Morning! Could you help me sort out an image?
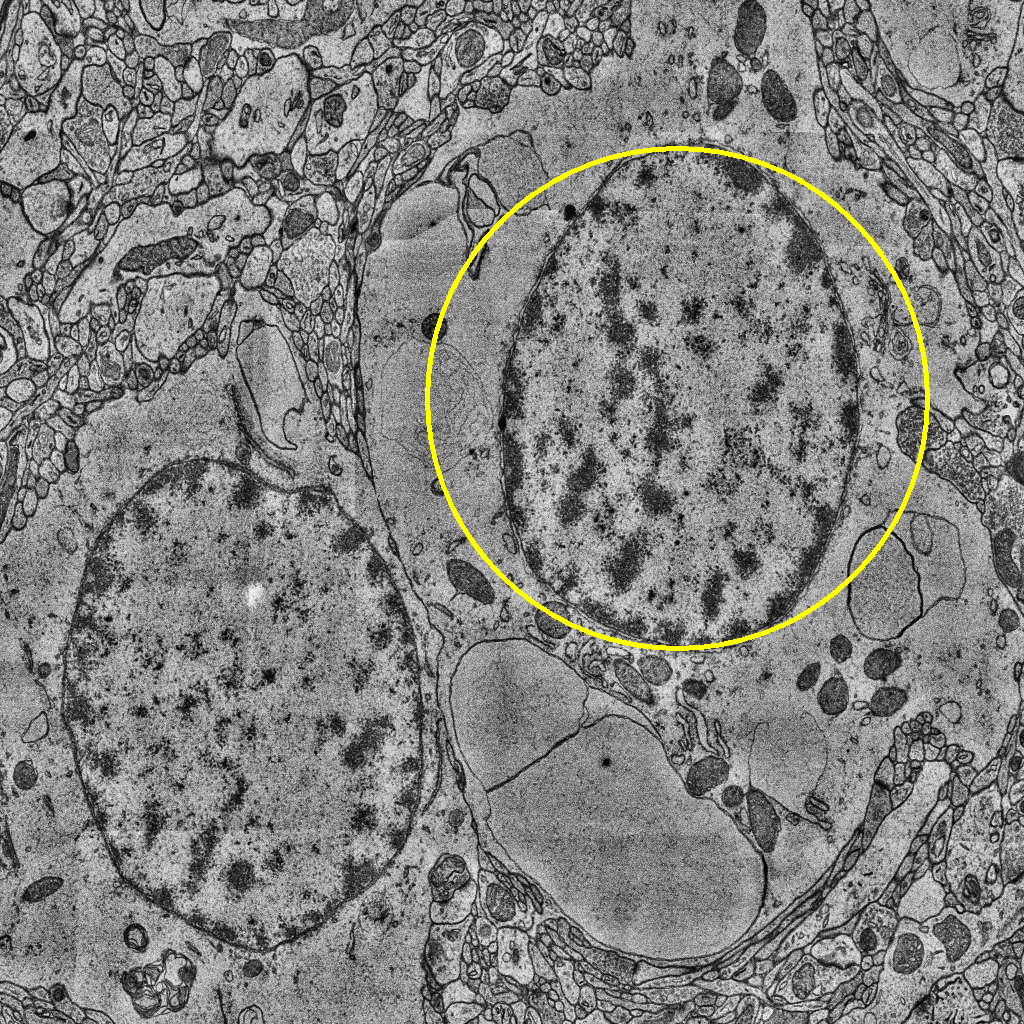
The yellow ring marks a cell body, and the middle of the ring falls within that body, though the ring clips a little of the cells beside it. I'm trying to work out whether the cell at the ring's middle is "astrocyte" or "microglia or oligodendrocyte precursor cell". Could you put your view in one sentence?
The cell body at the ring's middle is that of an astrocyte.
